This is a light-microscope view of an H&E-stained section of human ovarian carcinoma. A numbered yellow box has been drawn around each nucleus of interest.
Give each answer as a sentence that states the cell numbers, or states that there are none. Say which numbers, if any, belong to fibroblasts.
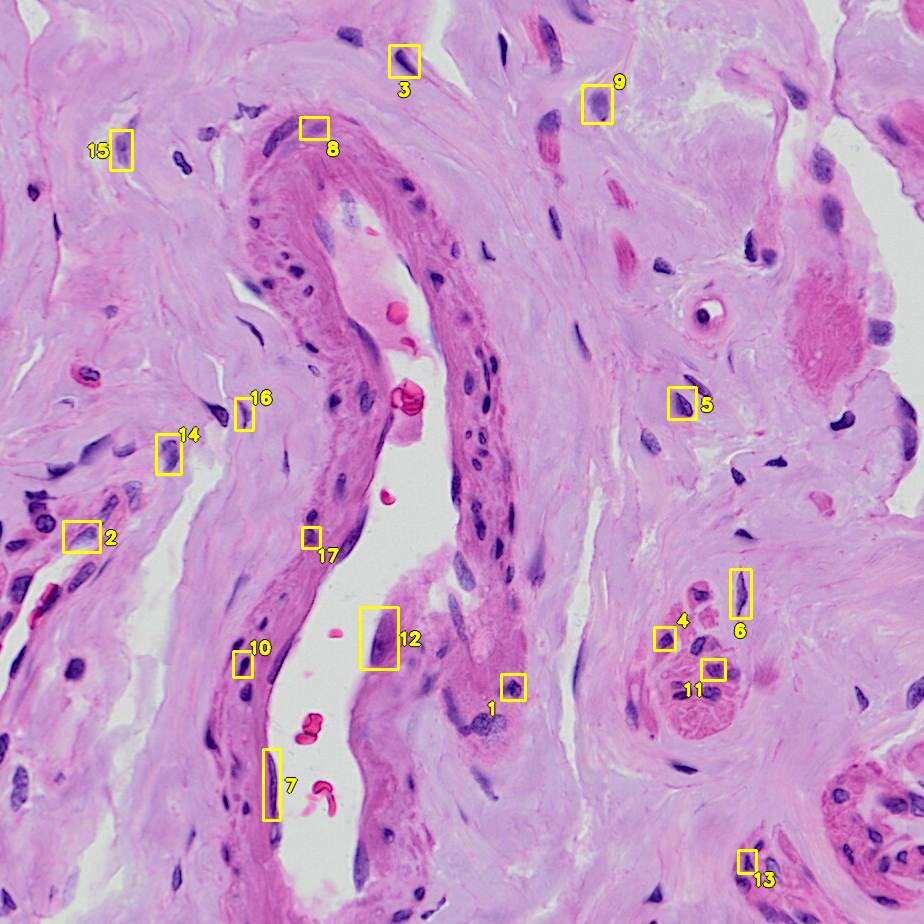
The cells that the numbers 3, 5, 6, 9, 14, 15 and 16 belong to are fibroblasts.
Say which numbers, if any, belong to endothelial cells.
Here, the cells that carry numbers 2, 7 and 12 are endothelial cells.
